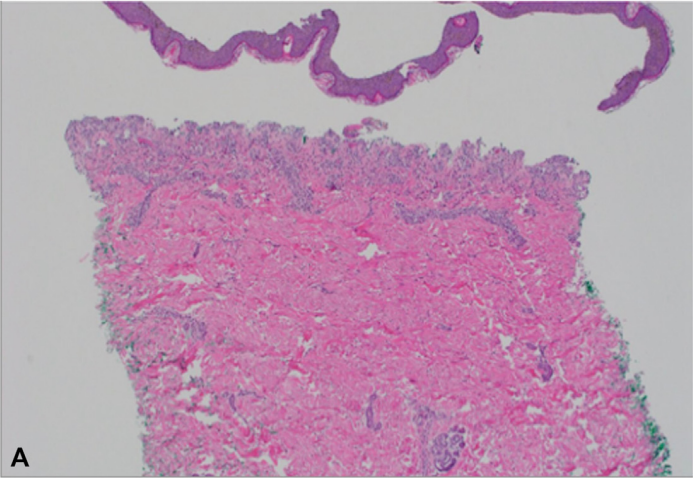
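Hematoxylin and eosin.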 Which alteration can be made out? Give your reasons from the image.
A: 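A thin strip of epidermis lies fully detached above the dermis. The dermal surface below the gap has no epidermis covering it. On this evidence: Subepidermal split.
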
